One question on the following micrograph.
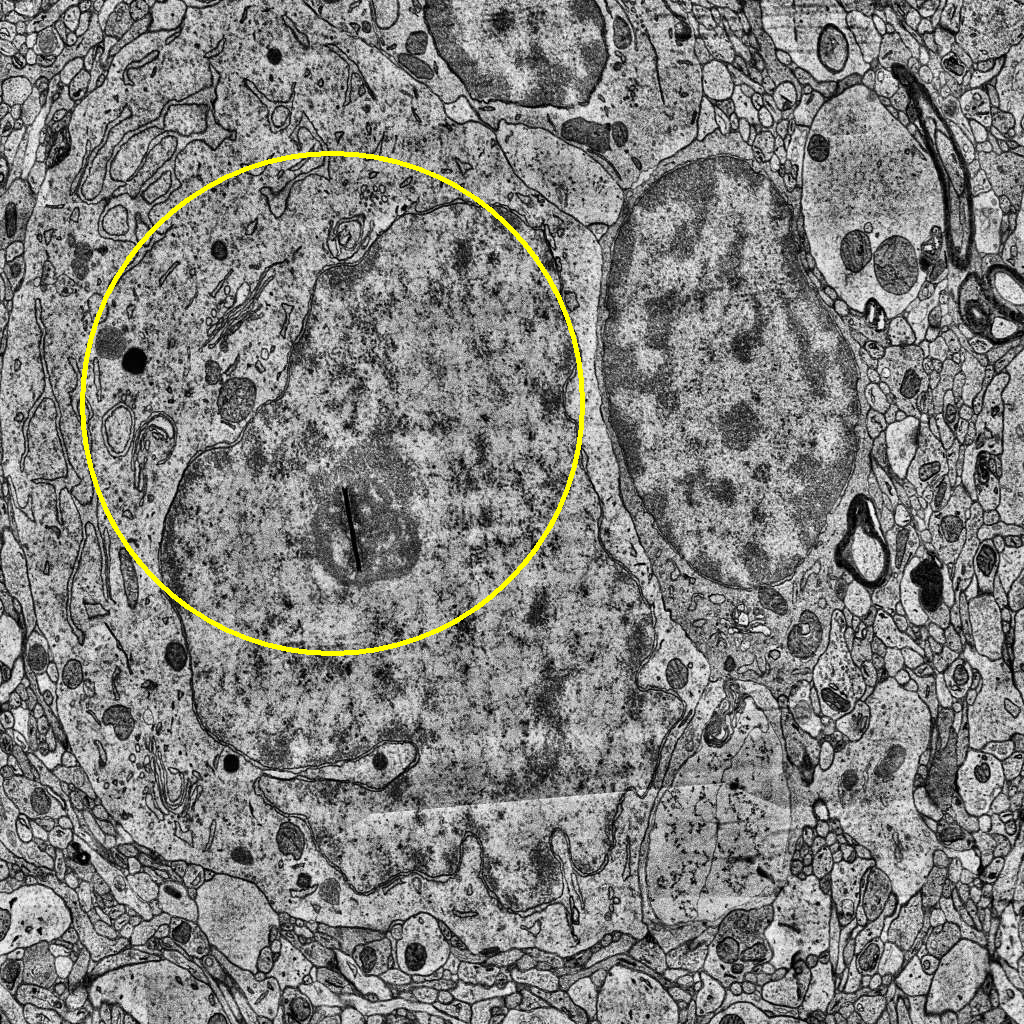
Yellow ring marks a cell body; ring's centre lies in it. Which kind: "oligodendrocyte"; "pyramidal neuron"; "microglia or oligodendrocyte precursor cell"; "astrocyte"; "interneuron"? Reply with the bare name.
interneuron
